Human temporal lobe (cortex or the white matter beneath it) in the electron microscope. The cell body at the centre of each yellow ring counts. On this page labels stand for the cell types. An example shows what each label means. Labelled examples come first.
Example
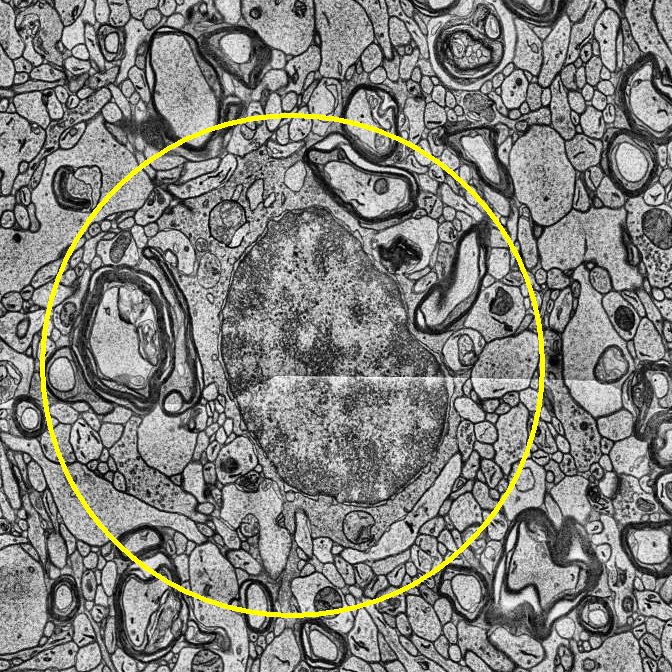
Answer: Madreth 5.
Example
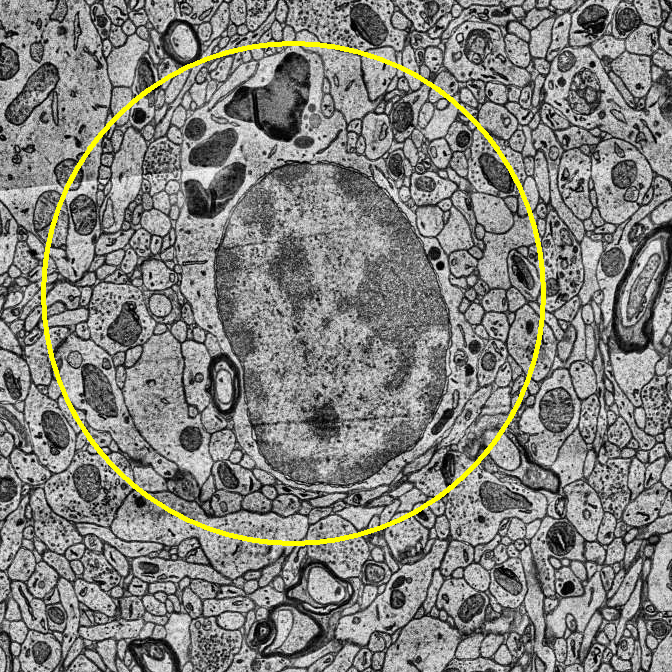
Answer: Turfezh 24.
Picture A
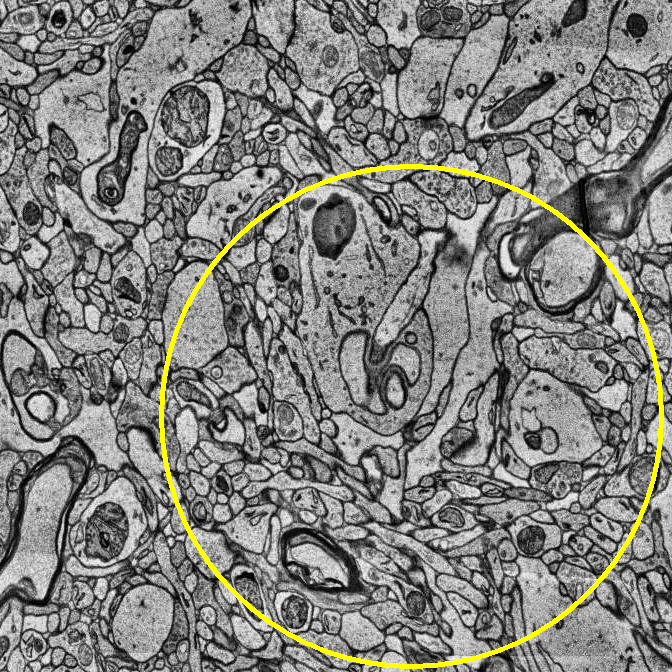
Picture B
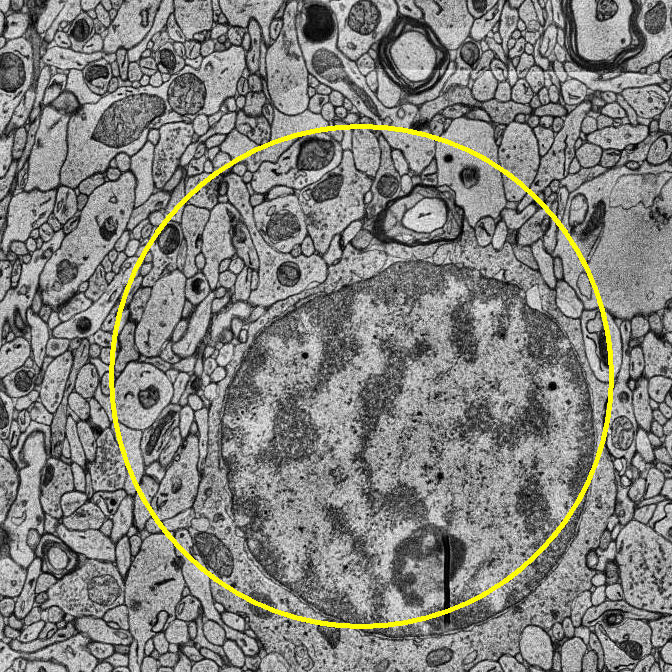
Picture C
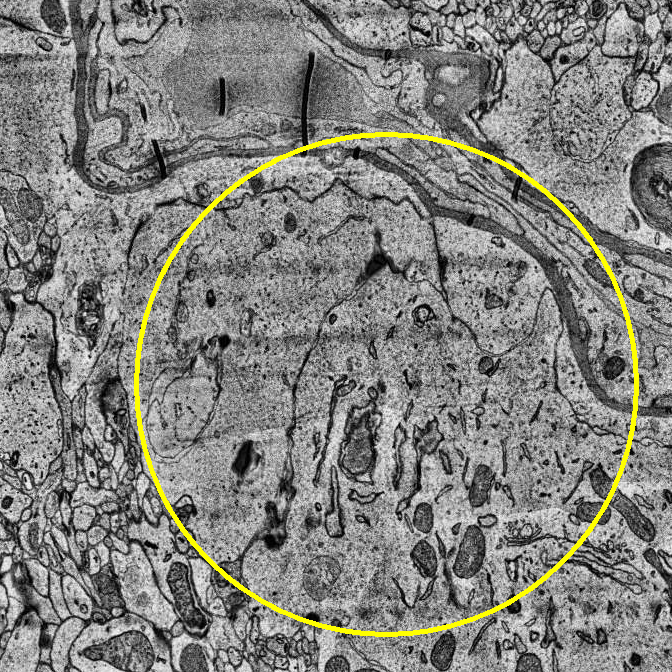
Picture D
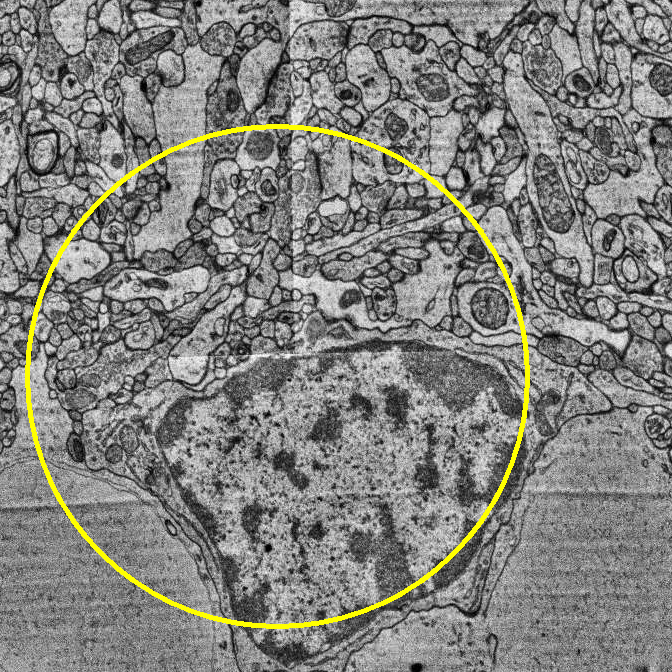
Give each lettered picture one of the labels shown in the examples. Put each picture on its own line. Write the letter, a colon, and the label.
A: Turfezh 24.
B: Madreth 5.
C: Turfezh 24.
D: Turfezh 24.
